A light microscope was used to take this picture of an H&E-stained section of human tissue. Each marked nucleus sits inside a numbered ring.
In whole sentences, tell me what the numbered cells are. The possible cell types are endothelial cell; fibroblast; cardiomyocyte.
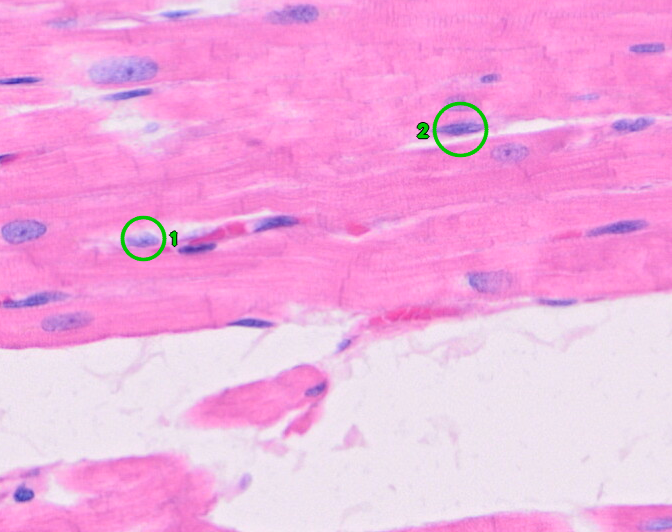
Cell 1 is a fibroblast and cell 2 is an endothelial cell.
